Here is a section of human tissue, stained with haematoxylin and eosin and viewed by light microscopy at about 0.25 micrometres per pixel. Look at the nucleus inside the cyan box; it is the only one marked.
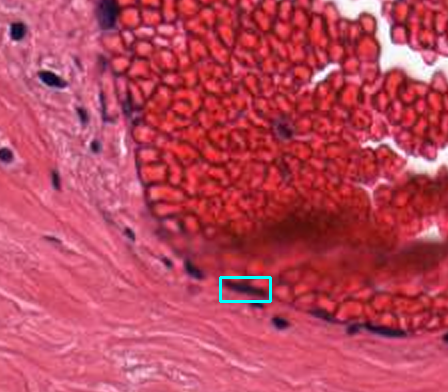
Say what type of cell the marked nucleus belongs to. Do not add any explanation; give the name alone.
endothelial cell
